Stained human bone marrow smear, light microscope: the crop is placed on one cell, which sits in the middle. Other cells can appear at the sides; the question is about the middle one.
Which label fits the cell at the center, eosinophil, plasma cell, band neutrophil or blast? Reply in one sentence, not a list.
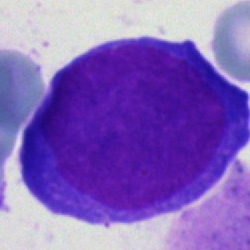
What the crop centres on is a blast.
